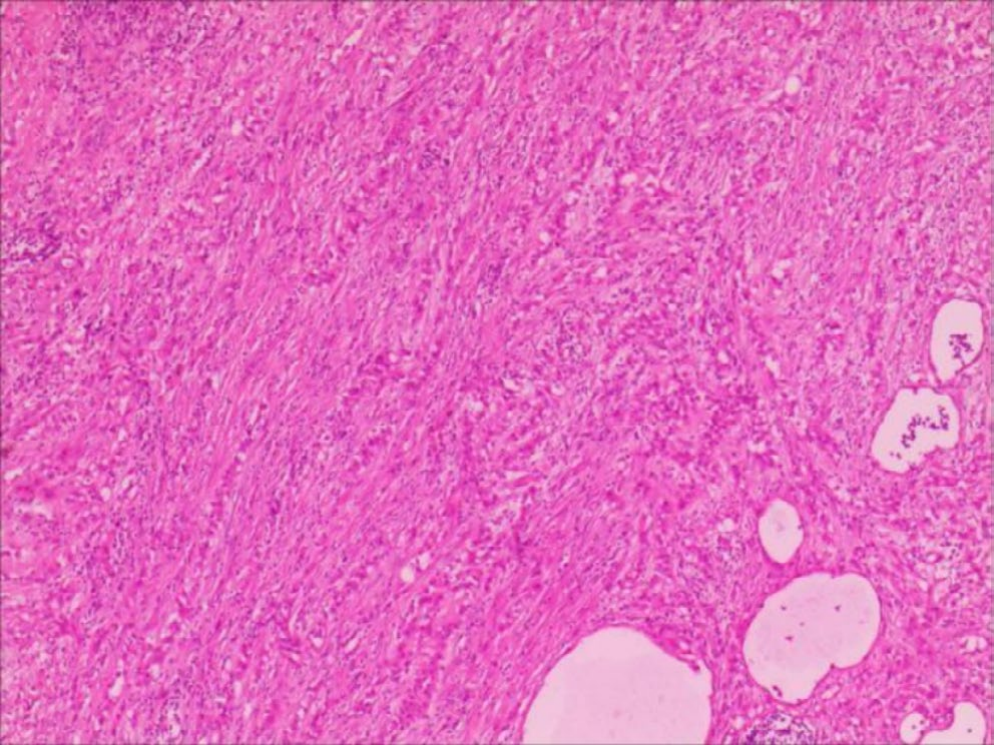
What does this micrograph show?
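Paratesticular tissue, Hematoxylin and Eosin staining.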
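This low-power view shows tumor tissue built of cells with pale pink cytoplasm that grow in glandular, tubular and cord-like patterns. Most of the field is densely cellular and eosinophilic, with cells arranged in strands and cords that stream in parallel, roughly diagonal fascicles. Small dark purple nuclei are scattered throughout, with darker clusters in places. Many small round or slit-like clear spaces lie between the cells. In the lower right several larger dilated gland-like or tubular spaces of varying size are lined by flattened cells and hold pale pink material, some with small tufts of cells inside.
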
